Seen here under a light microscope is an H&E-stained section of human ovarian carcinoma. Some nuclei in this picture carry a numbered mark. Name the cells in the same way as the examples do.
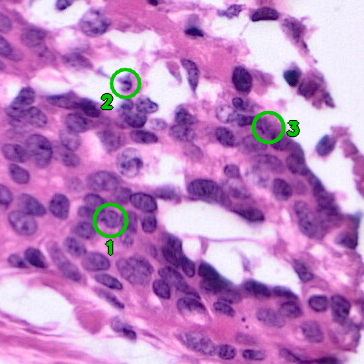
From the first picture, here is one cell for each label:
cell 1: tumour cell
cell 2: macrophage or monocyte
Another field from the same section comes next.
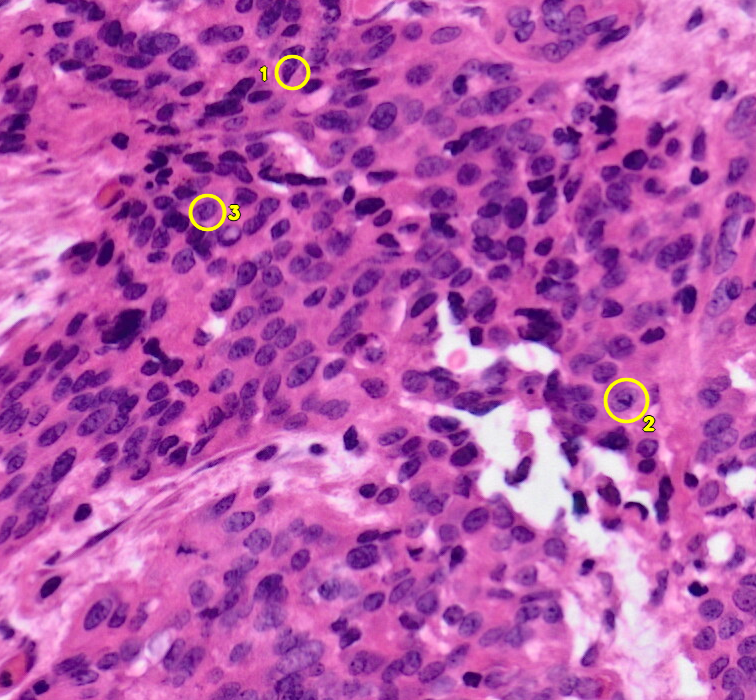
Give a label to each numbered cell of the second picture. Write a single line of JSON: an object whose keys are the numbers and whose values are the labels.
{"1": "macrophage or monocyte", "2": "macrophage or monocyte", "3": "tumour cell"}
